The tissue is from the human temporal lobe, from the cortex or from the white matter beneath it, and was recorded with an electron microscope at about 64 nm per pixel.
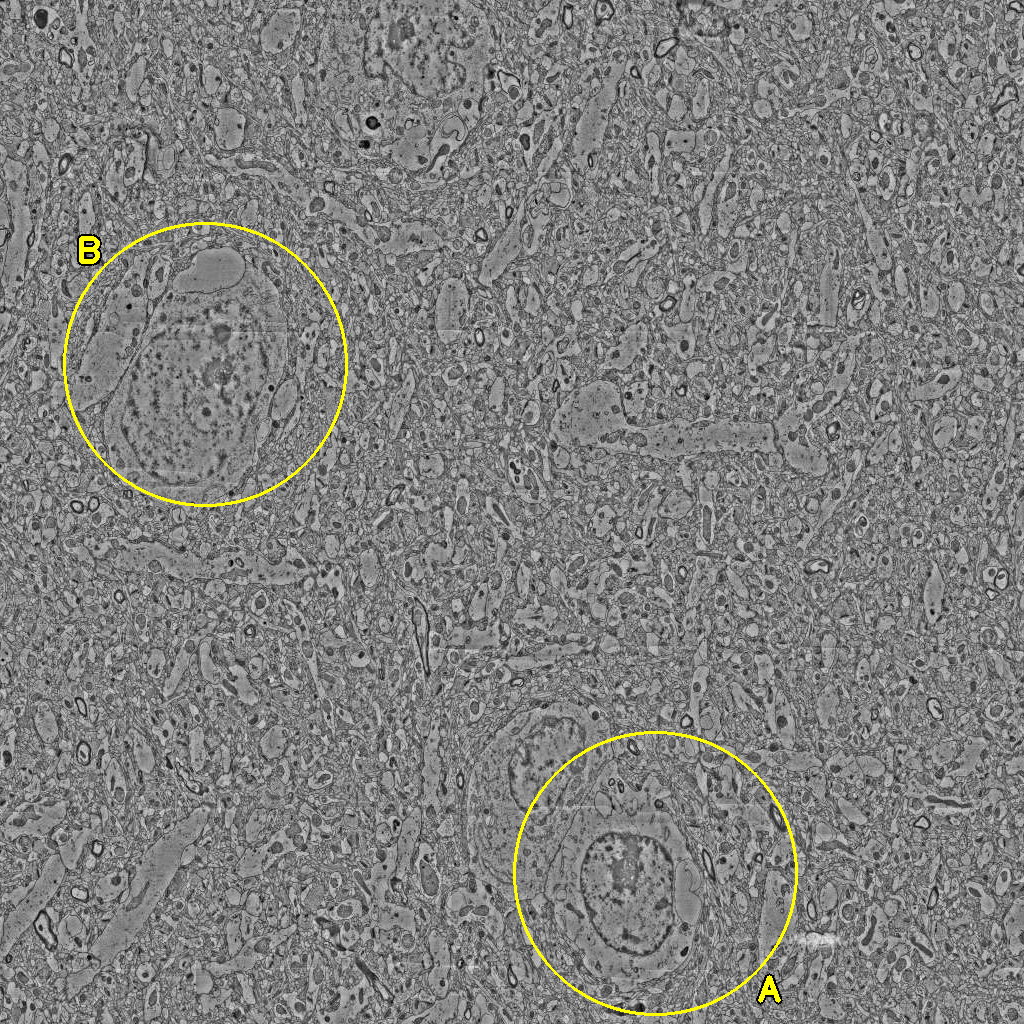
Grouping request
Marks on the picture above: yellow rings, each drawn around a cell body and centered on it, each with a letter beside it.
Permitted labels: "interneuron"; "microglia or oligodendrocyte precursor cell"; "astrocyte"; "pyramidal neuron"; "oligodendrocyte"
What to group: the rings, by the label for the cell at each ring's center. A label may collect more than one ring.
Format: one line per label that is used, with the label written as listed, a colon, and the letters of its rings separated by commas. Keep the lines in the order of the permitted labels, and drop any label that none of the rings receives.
interneuron: B
astrocyte: A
